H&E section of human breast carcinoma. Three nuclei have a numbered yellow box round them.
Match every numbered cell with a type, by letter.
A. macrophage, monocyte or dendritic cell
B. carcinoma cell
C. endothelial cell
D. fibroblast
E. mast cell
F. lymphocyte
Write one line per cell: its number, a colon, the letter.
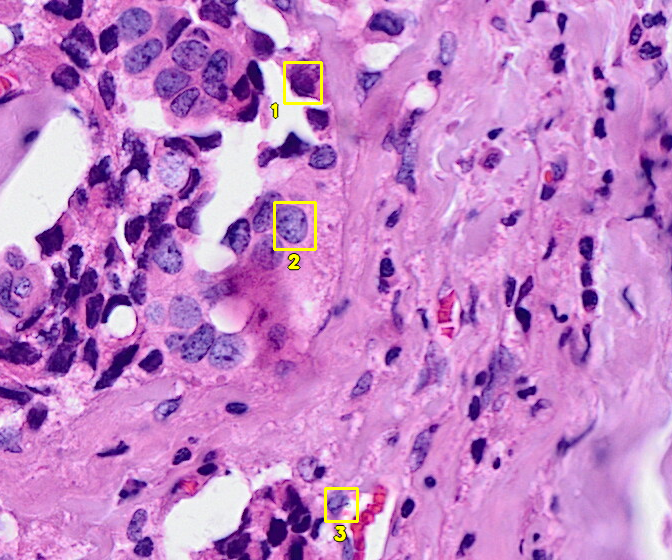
1: B
2: B
3: C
